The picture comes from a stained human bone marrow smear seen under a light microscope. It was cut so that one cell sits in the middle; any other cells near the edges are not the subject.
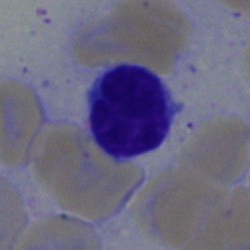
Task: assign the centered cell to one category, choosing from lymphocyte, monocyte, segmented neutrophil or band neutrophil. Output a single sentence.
By classification, the middle cell of this crop is a lymphocyte.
